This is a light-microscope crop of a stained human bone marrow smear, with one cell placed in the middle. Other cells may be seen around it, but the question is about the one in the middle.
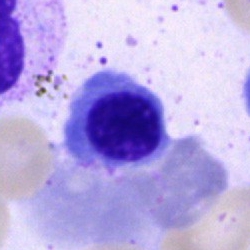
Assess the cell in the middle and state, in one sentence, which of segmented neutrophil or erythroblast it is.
At the center of the crop sits an erythroblast.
